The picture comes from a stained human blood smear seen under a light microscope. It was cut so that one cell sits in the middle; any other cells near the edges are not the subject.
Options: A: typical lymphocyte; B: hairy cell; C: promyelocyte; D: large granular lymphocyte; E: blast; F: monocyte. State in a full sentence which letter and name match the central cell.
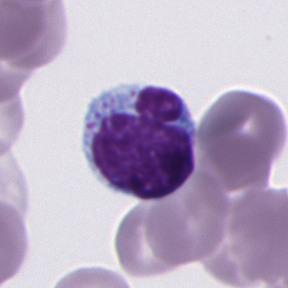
The correct identification, given in option A, is that the central cell is a typical lymphocyte.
